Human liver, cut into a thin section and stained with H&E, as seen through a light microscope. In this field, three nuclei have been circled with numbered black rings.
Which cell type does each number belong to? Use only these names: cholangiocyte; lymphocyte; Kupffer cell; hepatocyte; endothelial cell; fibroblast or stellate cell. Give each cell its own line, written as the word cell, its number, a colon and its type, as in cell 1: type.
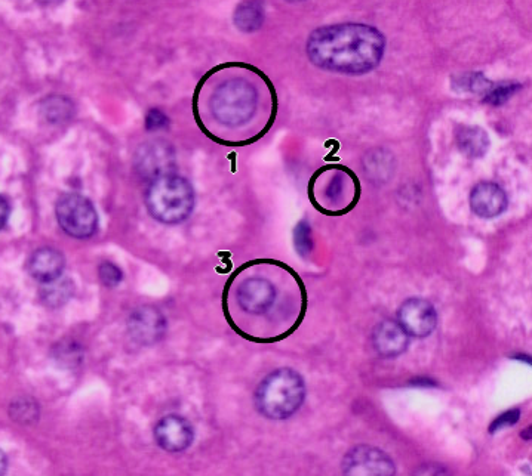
cell 1: hepatocyte
cell 2: fibroblast or stellate cell
cell 3: hepatocyte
